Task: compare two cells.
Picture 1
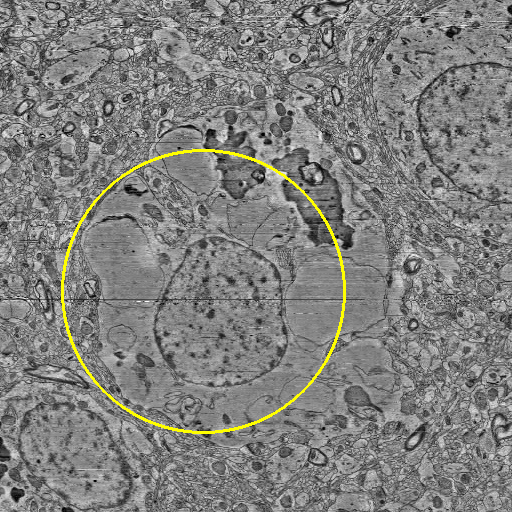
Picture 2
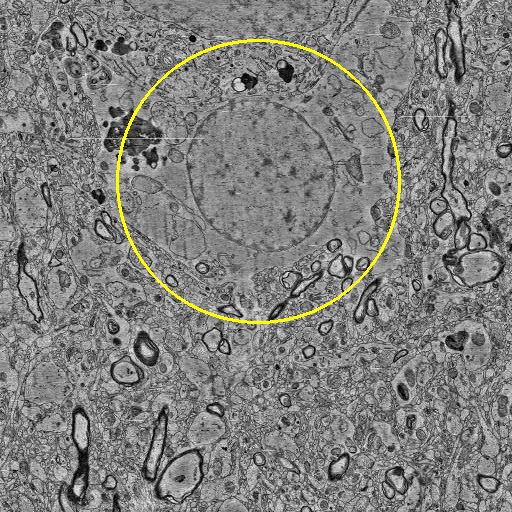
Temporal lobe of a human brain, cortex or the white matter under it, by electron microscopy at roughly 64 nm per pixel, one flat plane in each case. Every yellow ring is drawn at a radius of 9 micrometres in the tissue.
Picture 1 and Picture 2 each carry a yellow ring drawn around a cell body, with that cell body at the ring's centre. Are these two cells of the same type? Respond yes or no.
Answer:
yes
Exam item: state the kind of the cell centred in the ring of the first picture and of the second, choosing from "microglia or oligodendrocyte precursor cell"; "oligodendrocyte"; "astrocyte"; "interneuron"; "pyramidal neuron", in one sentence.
The second cell is an astrocyte, just as the first is.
